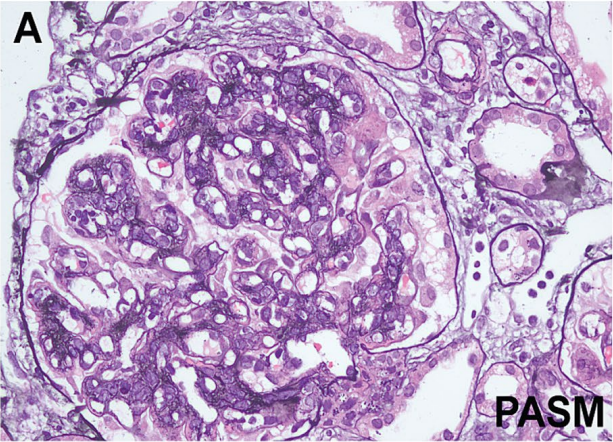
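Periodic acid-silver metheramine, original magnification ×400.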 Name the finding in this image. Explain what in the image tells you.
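Lobular appearance of glomeruli. The glomerular tuft is divided into several rounded lobules. The tuft is crowded with many nuclei. Capillary lumens are narrowed within the lobules.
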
